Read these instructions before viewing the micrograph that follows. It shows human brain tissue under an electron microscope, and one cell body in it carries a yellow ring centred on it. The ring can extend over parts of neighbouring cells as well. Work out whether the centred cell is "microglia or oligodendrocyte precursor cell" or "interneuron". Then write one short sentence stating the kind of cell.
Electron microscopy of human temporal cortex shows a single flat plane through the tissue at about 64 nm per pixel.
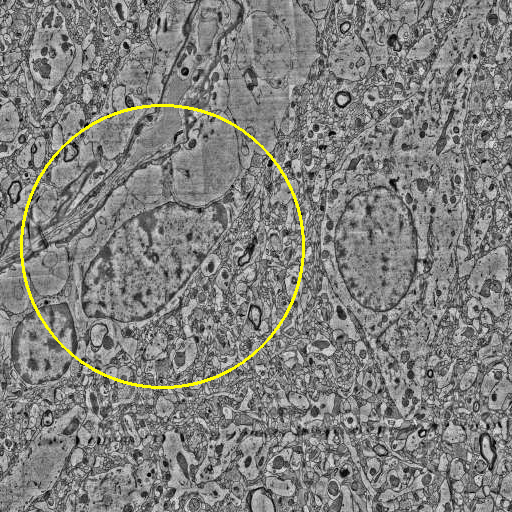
The ringed cell is a microglial cell or oligodendrocyte precursor cell.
